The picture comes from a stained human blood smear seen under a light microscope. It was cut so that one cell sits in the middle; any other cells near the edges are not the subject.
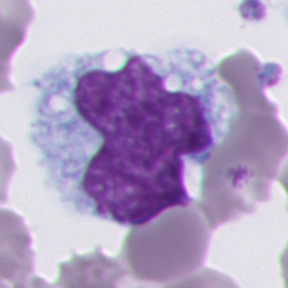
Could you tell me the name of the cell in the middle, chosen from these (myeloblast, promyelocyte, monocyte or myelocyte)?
monocyte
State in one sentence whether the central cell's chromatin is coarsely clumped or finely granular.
Chromatin texture is fine, and coarse clumps are absent.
